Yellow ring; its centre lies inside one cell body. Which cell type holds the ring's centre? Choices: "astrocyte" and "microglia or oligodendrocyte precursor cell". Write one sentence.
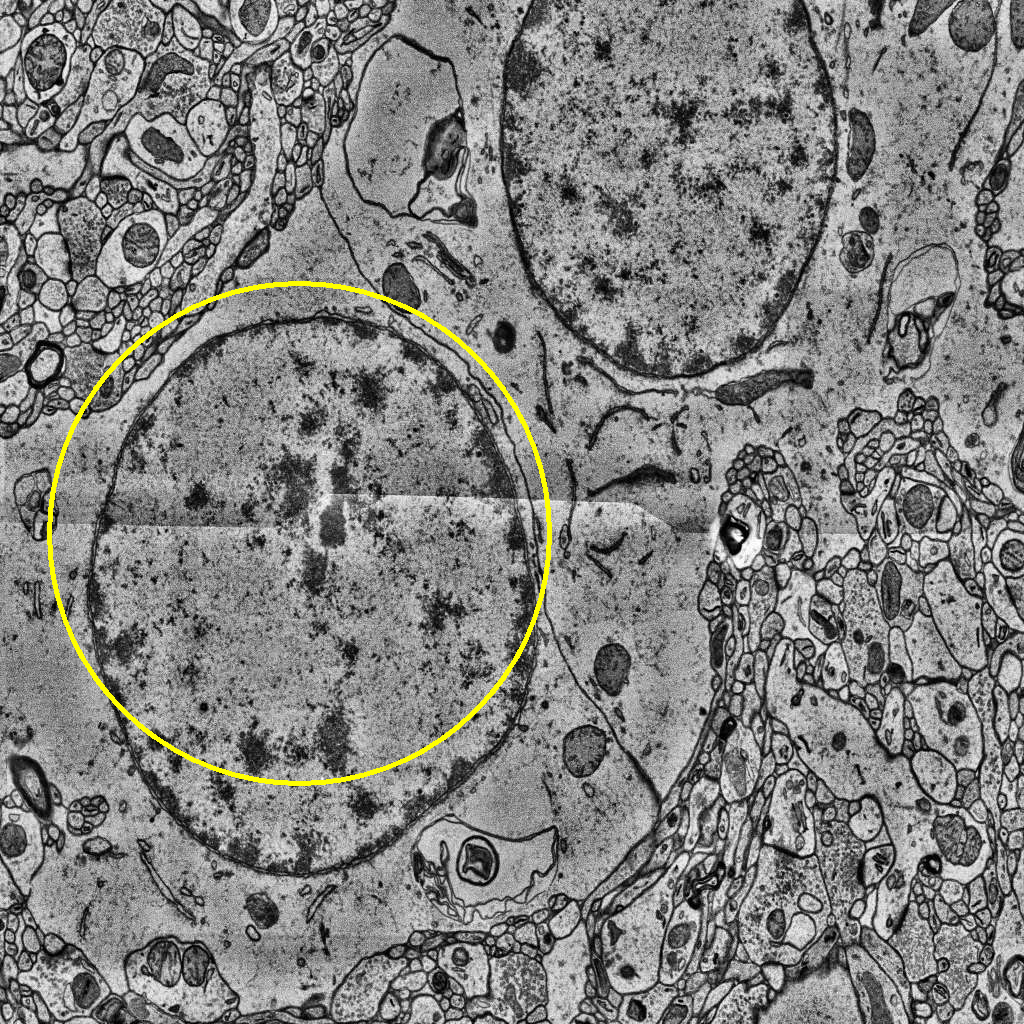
At the centre of the ring sits an astrocyte.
